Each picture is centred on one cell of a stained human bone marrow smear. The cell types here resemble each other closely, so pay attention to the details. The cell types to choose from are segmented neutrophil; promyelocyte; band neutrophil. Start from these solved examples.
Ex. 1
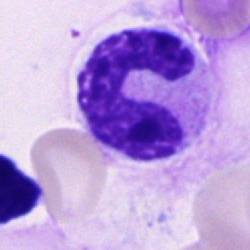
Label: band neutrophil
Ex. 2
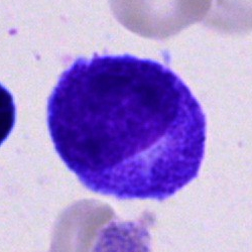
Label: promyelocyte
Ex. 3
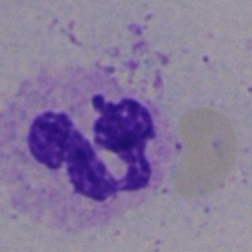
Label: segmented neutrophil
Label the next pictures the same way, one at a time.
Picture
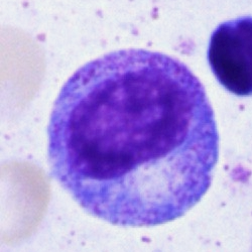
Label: promyelocyte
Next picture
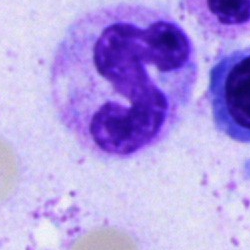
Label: segmented neutrophil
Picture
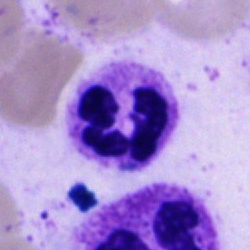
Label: segmented neutrophil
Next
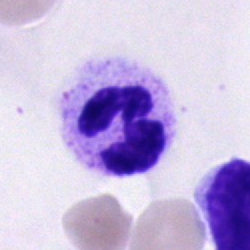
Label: segmented neutrophil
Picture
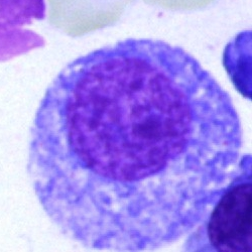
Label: promyelocyte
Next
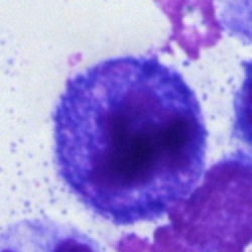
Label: promyelocyte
